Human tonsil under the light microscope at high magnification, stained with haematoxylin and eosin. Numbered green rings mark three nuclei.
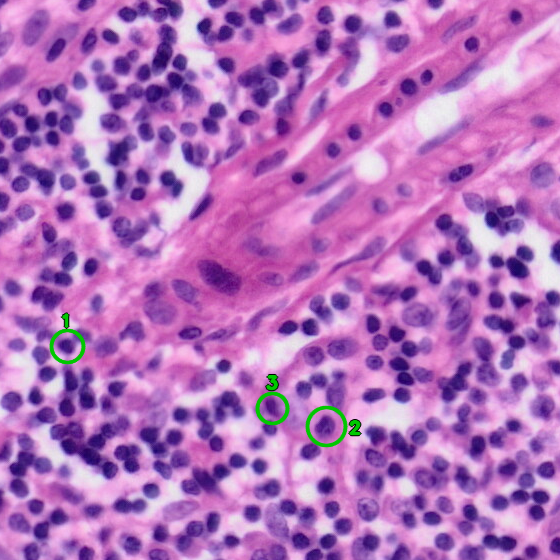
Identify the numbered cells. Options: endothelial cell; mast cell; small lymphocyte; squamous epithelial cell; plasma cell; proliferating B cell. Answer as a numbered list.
1. small lymphocyte
2. endothelial cell
3. endothelial cell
